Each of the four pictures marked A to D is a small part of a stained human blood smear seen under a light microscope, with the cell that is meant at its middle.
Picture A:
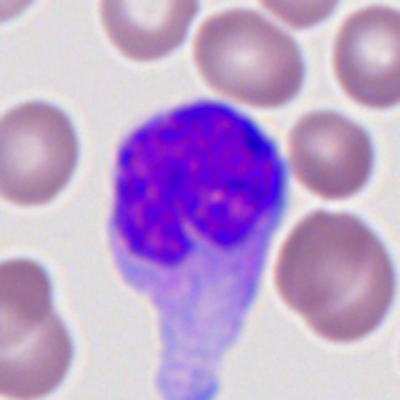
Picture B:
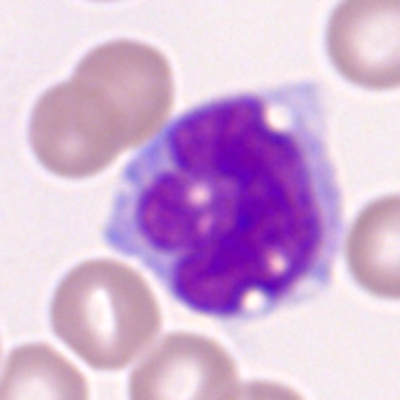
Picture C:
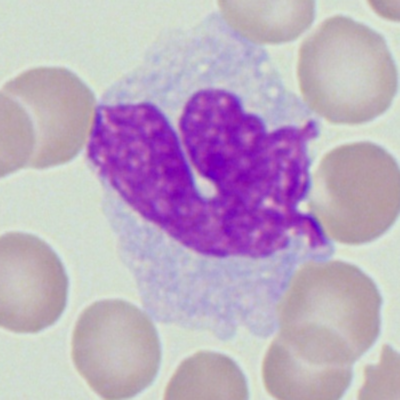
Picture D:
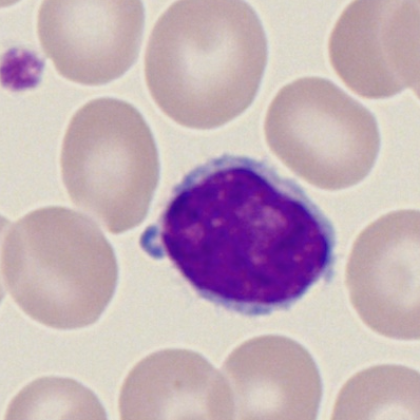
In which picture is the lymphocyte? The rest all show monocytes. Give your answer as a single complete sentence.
Picture D shows the lymphocyte.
